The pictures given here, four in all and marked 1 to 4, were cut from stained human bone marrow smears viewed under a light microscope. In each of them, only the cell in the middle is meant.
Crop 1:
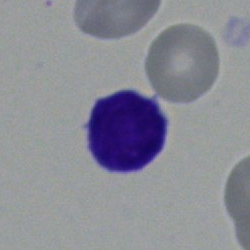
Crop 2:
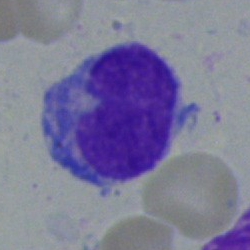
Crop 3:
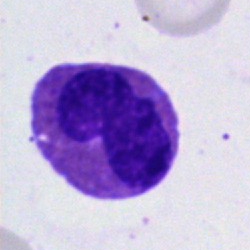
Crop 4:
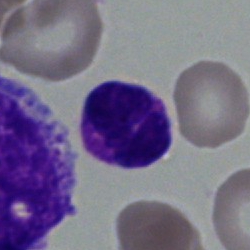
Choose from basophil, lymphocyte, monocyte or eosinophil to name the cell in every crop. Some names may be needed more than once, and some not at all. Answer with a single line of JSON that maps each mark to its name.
{"1": "lymphocyte", "2": "monocyte", "3": "eosinophil", "4": "basophil"}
